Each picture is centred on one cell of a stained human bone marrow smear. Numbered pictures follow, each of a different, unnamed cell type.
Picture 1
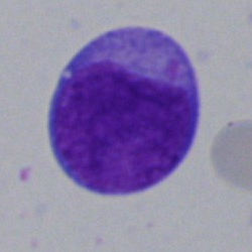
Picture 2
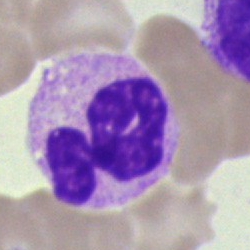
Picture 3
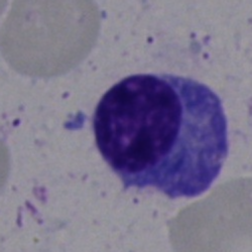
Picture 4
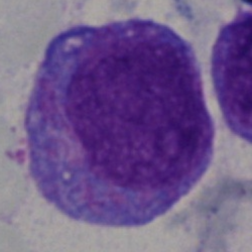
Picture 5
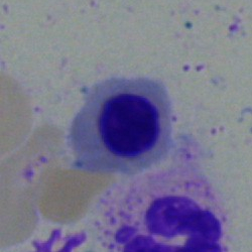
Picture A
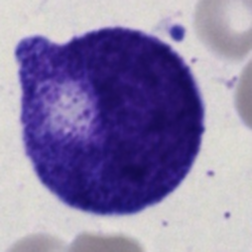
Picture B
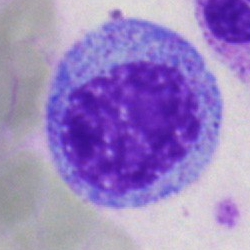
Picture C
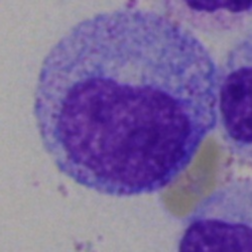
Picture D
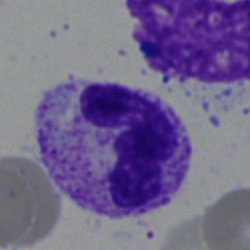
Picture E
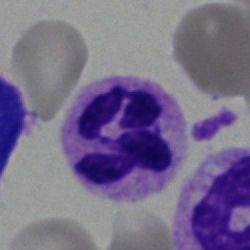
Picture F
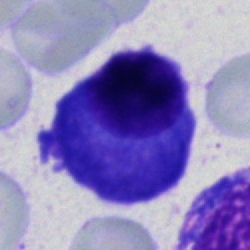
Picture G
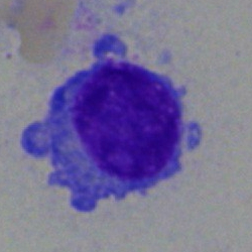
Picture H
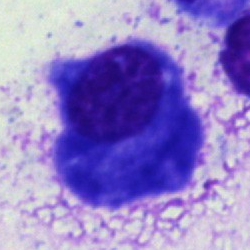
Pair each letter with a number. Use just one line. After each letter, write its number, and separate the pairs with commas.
A 4, B 4, C 4, D 2, E 2, F 3, G 3, H 3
